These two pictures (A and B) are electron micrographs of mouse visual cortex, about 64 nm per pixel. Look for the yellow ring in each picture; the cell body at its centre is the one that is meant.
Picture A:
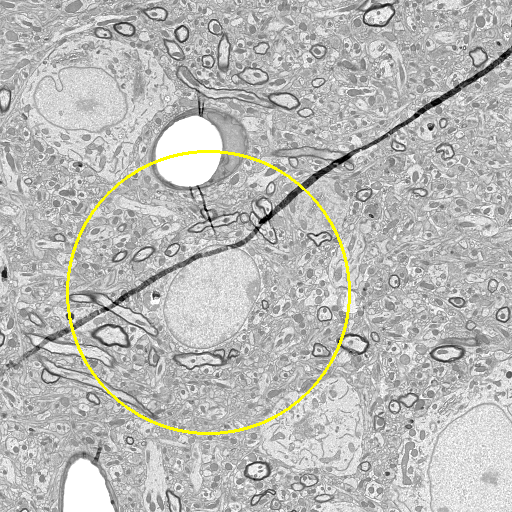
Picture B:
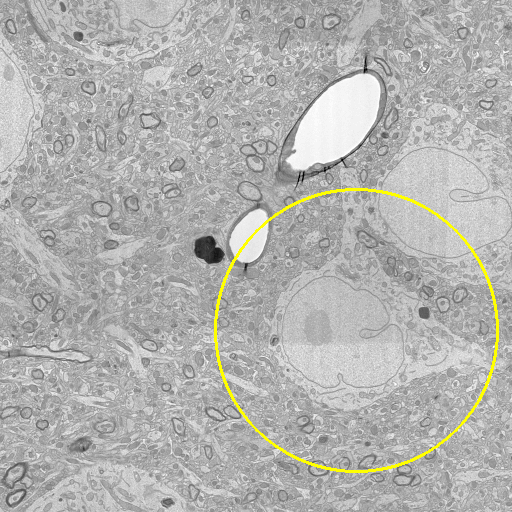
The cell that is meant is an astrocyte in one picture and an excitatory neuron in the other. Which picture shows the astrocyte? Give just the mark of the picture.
A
